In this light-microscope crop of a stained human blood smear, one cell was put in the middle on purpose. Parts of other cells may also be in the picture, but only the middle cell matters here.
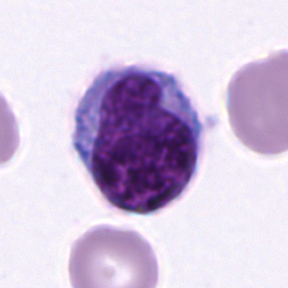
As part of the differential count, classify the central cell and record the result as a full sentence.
This crop has a plasma cell at its centre.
